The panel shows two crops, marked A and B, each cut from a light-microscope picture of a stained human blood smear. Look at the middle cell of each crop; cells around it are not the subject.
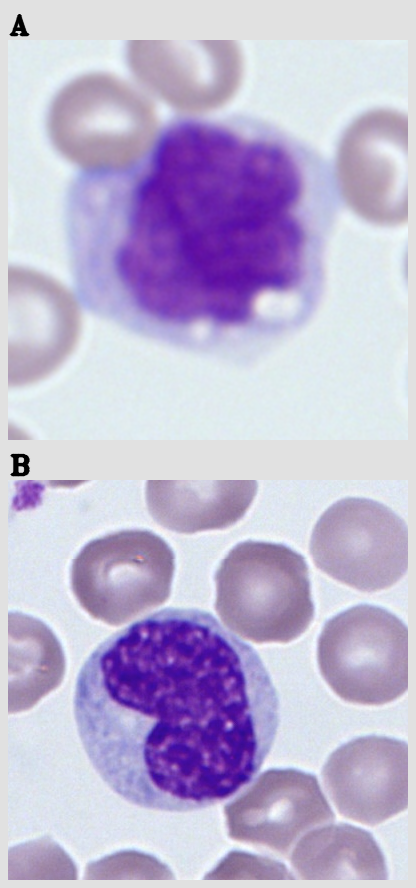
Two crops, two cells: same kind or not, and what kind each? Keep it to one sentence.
Yes, both the first crop and the second crop show monocytes.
